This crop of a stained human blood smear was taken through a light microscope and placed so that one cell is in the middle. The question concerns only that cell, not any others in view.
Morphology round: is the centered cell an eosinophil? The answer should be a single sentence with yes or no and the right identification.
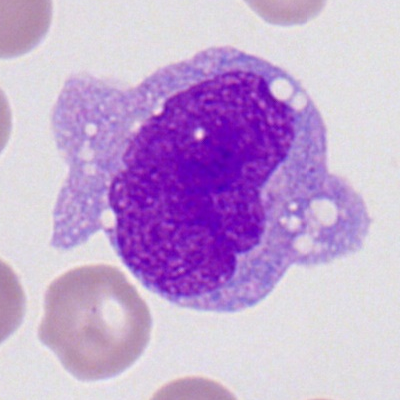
No, it isn't an eosinophil; what sits in the middle is a monocyte.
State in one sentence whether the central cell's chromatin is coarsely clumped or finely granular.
In this cell the chromatin is fine rather than coarsely clumped.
